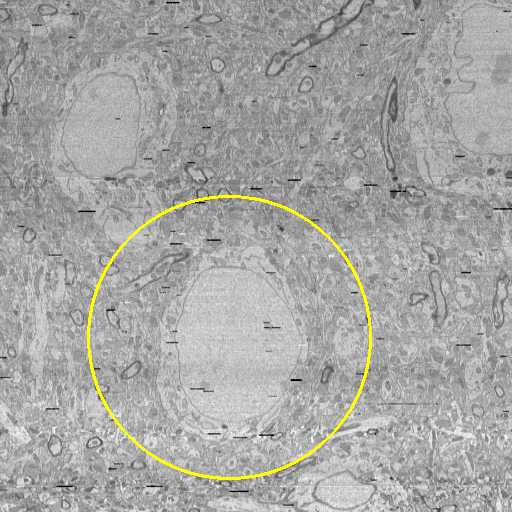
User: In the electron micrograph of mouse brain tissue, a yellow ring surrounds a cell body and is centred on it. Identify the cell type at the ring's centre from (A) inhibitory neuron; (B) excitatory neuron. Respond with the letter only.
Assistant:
B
